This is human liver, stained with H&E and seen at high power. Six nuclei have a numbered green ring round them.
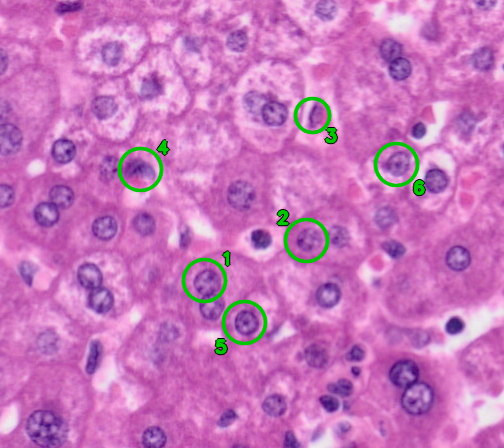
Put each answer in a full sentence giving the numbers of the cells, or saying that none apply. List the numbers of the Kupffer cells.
Just one of the numbered cells is a Kupffer cell, namely number 3.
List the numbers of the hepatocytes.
The cells with labels 1, 2, 5 and 6 are hepatocytes.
